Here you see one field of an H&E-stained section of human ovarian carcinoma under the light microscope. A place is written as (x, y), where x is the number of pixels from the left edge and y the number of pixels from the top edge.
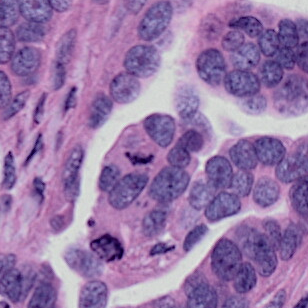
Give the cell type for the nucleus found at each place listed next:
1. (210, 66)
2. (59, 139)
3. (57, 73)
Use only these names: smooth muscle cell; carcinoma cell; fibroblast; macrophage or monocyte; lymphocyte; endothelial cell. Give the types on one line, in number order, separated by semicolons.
carcinoma cell; fibroblast; fibroblast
